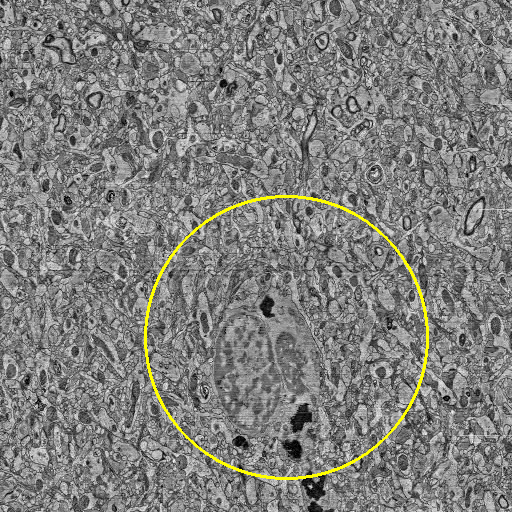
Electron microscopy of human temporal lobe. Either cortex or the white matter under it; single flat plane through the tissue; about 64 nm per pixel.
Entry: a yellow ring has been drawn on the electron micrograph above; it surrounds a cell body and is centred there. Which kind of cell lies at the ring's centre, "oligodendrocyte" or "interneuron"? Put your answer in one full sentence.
The cell sitting at the ring's centre is an oligodendrocyte in the micrograph above.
